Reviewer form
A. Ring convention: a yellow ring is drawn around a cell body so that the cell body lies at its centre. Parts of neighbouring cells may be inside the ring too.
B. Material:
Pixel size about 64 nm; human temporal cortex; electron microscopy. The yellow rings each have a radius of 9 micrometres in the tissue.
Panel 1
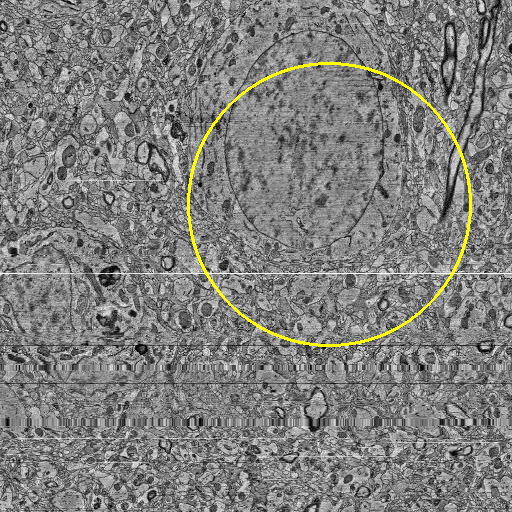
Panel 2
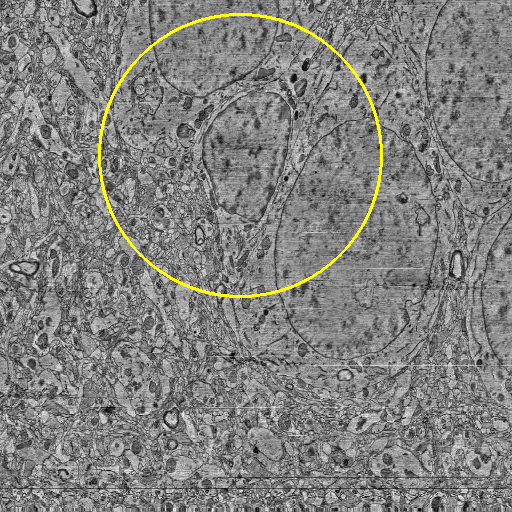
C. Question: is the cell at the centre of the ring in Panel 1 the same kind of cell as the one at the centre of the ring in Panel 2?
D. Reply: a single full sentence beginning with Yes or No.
No, the cells in Panel 1 and Panel 2 are two kinds of cell.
